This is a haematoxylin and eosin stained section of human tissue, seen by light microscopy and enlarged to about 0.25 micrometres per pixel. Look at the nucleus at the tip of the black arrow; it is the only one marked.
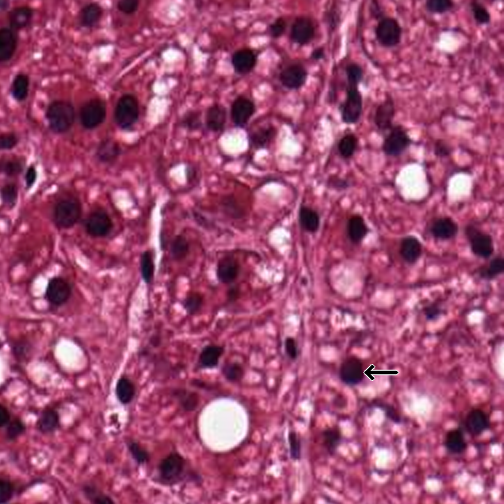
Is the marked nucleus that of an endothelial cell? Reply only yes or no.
no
